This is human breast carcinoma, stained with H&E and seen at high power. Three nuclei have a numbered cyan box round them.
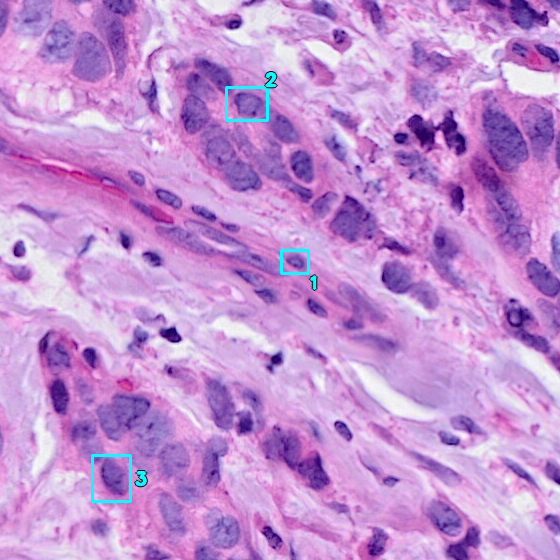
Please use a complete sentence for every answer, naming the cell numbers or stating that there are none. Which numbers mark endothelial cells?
Among the numbered cells, cell 1 alone is an endothelial cell.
